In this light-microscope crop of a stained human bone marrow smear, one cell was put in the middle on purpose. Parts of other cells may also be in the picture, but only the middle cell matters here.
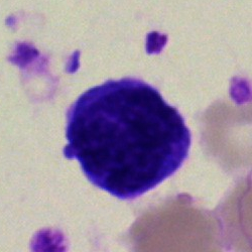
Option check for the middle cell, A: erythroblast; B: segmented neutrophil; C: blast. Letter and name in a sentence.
The correct identification, given in option C, is that the central cell is a blast.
